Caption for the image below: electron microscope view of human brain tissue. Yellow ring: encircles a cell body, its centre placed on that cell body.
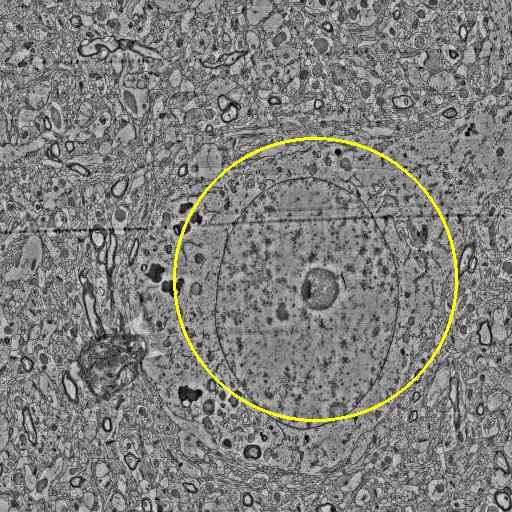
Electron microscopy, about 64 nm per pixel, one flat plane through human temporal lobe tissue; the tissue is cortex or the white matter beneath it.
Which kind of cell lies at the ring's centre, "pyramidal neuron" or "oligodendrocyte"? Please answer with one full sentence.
The picture shows a pyramidal neuron at the centre of the yellow ring.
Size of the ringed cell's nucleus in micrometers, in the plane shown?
Roughly 16 by 12 micrometres in this plane, for the nucleus of the ringed cell.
